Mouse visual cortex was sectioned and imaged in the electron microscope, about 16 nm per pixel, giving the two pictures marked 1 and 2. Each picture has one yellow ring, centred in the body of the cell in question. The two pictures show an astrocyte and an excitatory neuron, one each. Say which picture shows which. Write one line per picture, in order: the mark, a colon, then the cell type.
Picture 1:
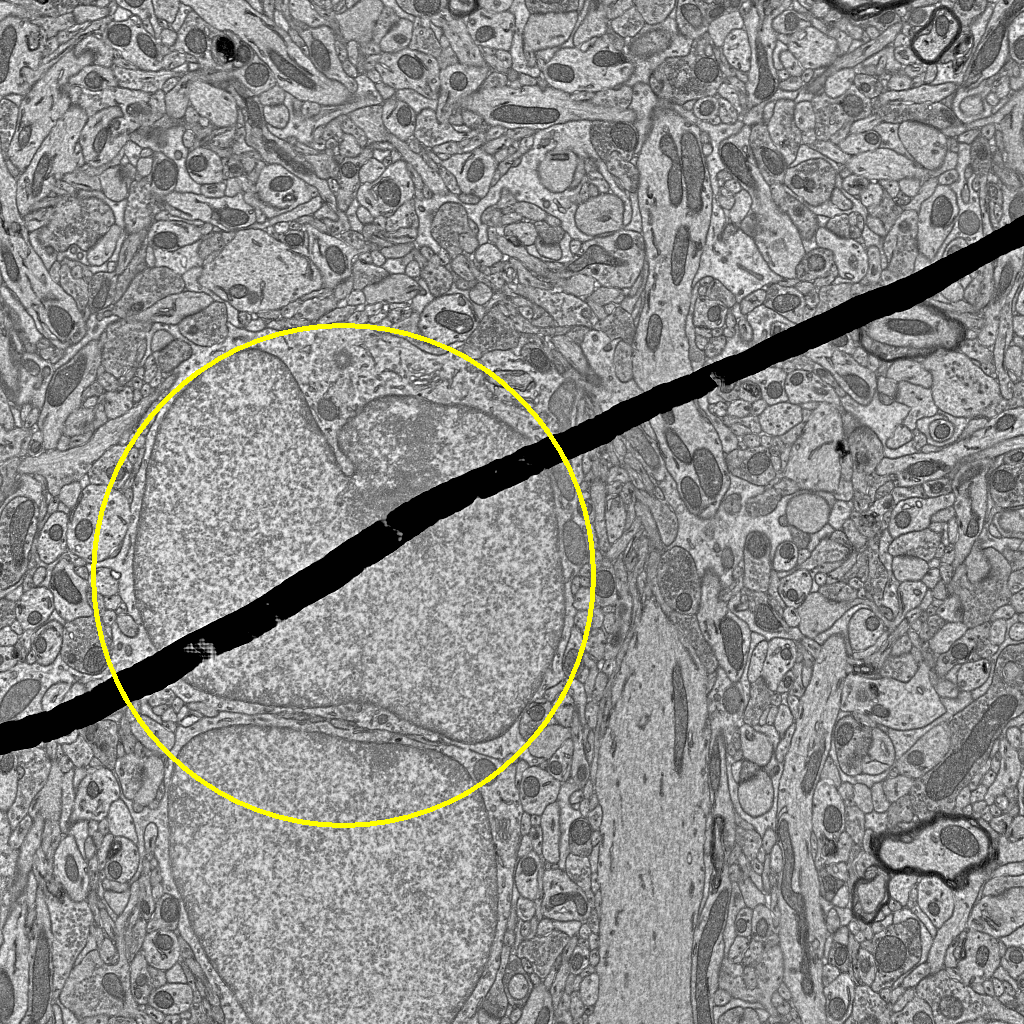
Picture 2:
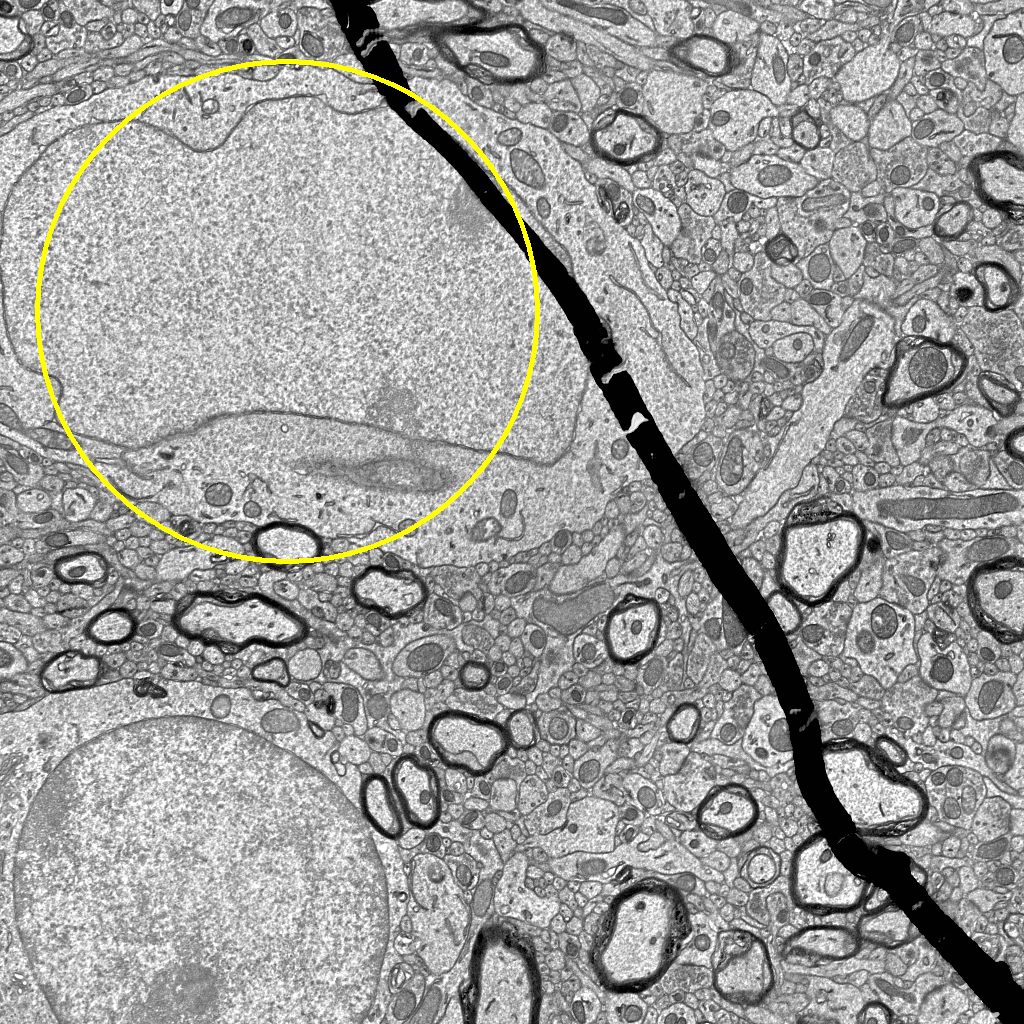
1: astrocyte
2: excitatory neuron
